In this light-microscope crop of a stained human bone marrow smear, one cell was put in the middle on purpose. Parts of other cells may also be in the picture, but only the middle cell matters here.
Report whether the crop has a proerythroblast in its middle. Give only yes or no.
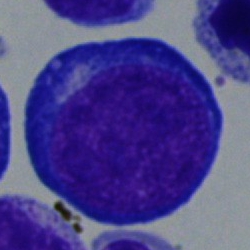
yes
